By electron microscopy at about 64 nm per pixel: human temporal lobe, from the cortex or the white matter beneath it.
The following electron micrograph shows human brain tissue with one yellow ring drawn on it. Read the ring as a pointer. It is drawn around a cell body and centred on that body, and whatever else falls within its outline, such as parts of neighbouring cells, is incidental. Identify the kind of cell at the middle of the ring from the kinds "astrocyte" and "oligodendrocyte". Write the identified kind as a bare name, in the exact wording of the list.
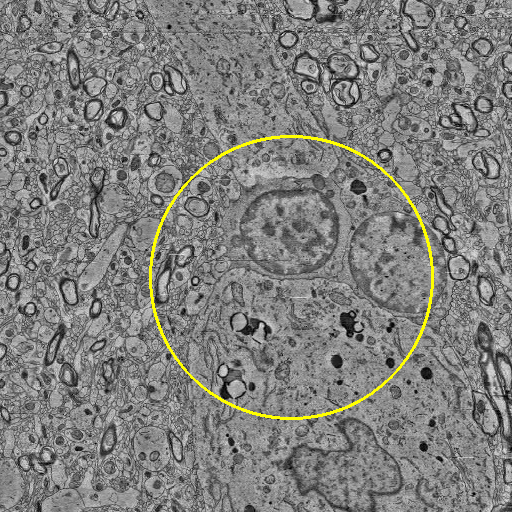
oligodendrocyte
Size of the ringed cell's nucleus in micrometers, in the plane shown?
Roughly 6 micrometers across in this plane.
